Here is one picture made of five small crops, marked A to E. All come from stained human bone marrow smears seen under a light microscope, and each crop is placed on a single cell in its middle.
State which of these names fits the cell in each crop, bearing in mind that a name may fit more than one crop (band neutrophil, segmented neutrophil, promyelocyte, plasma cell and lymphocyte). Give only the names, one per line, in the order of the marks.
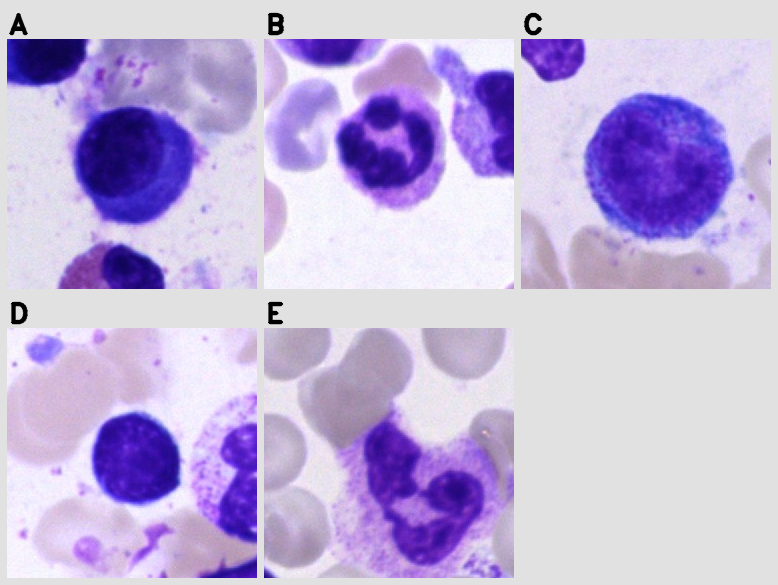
plasma cell
segmented neutrophil
promyelocyte
lymphocyte
segmented neutrophil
